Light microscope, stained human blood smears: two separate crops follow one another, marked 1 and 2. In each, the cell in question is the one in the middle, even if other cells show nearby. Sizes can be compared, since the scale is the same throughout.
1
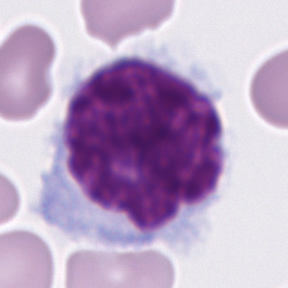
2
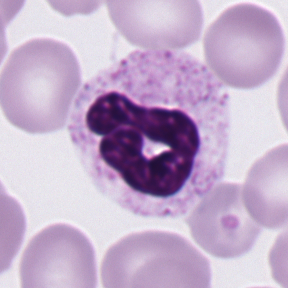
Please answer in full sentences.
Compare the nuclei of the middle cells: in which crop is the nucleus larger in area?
Larger is the nucleus in picture 1, at roughly 2.5 times the area of the other.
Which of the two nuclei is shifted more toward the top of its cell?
Seen within its cell, the nucleus in picture 1 lies further toward the top.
